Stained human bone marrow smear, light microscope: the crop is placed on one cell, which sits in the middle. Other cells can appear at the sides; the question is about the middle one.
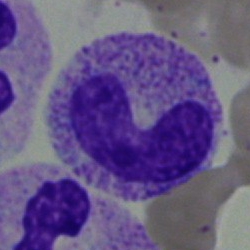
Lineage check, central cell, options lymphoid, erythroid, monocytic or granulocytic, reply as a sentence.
The cell at the center of the crop derives from the granulocytic lineage.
